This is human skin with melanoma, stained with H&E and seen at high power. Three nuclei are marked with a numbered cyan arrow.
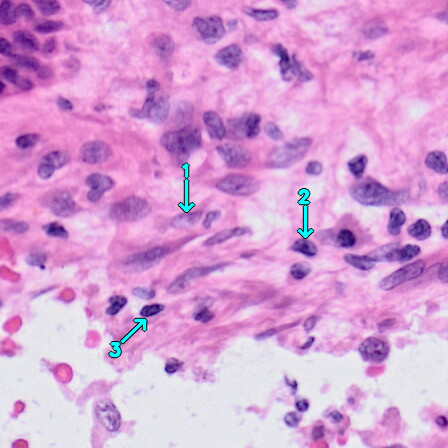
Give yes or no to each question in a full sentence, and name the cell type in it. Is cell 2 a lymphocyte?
Yes, the cell with number 2 is a lymphocyte.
